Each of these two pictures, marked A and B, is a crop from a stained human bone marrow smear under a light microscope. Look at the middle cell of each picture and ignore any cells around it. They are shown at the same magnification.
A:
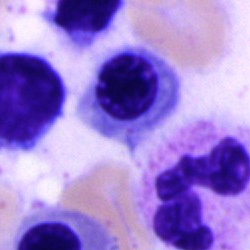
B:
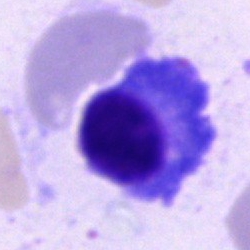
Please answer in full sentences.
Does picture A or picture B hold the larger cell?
The cell in picture B is larger, with about 2 times the area of the one in picture A.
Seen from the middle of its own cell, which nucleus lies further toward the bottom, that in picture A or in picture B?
In picture B the nucleus is shifted more toward the bottom.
